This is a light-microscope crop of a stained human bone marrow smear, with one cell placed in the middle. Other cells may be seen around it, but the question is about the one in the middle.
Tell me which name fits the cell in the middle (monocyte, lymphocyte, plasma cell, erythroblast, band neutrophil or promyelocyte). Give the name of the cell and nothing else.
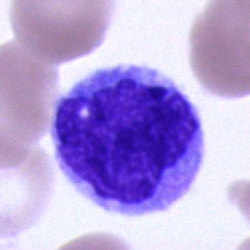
monocyte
